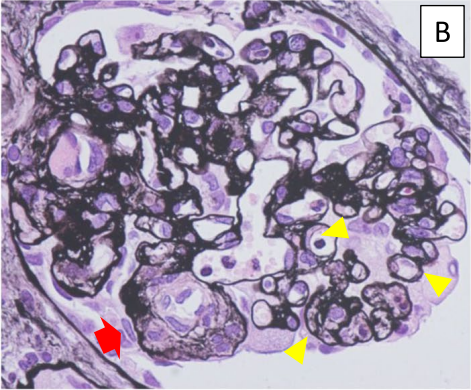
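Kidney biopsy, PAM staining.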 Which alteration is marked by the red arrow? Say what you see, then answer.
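A rounded, distended capillary segment at the lower part of the tuft. On this evidence: microaneurysm.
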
